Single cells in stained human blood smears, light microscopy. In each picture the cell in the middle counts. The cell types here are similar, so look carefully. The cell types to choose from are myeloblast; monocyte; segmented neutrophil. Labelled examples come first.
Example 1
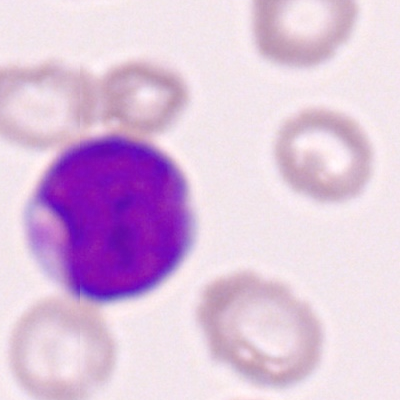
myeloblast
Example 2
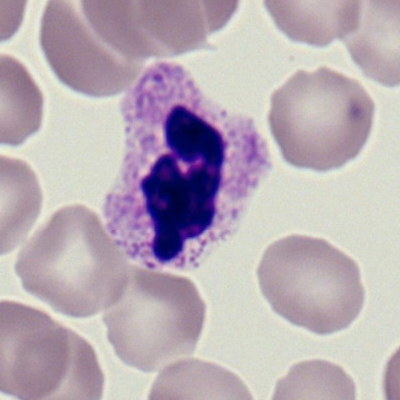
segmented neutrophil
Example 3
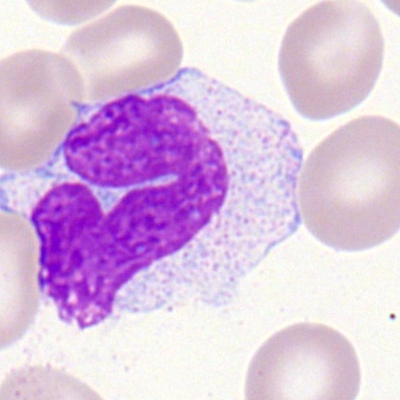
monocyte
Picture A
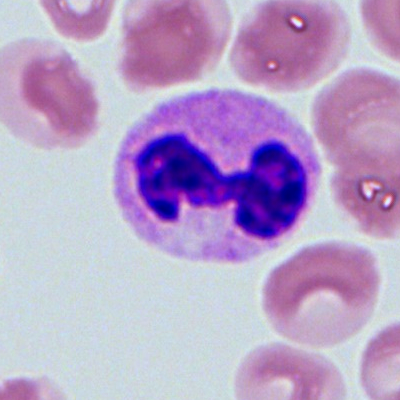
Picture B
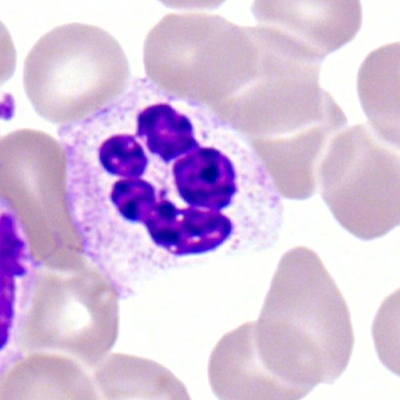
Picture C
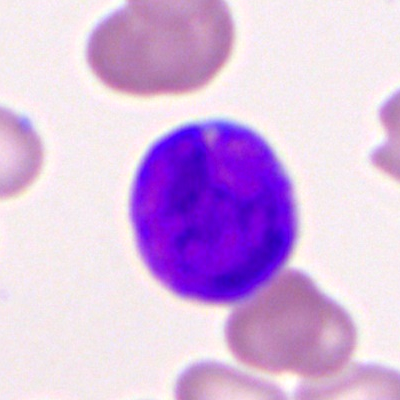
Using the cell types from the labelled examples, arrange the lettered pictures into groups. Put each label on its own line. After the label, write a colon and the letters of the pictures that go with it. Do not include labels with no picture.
myeloblast: C
segmented neutrophil: A, B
